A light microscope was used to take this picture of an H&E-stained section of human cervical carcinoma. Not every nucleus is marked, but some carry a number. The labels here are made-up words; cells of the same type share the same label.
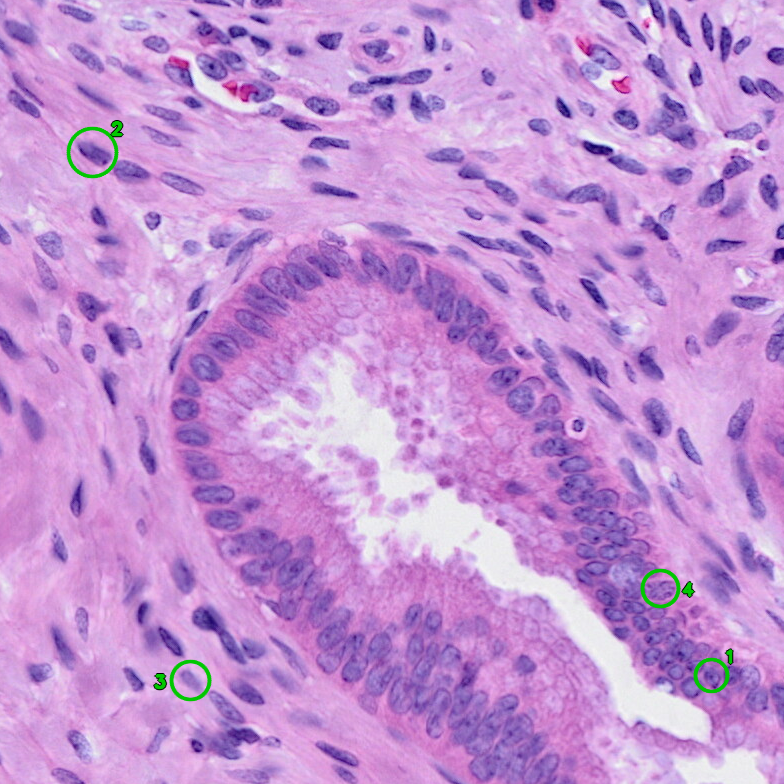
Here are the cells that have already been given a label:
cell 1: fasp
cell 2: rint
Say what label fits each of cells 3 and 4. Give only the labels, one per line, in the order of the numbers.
rint
fasp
